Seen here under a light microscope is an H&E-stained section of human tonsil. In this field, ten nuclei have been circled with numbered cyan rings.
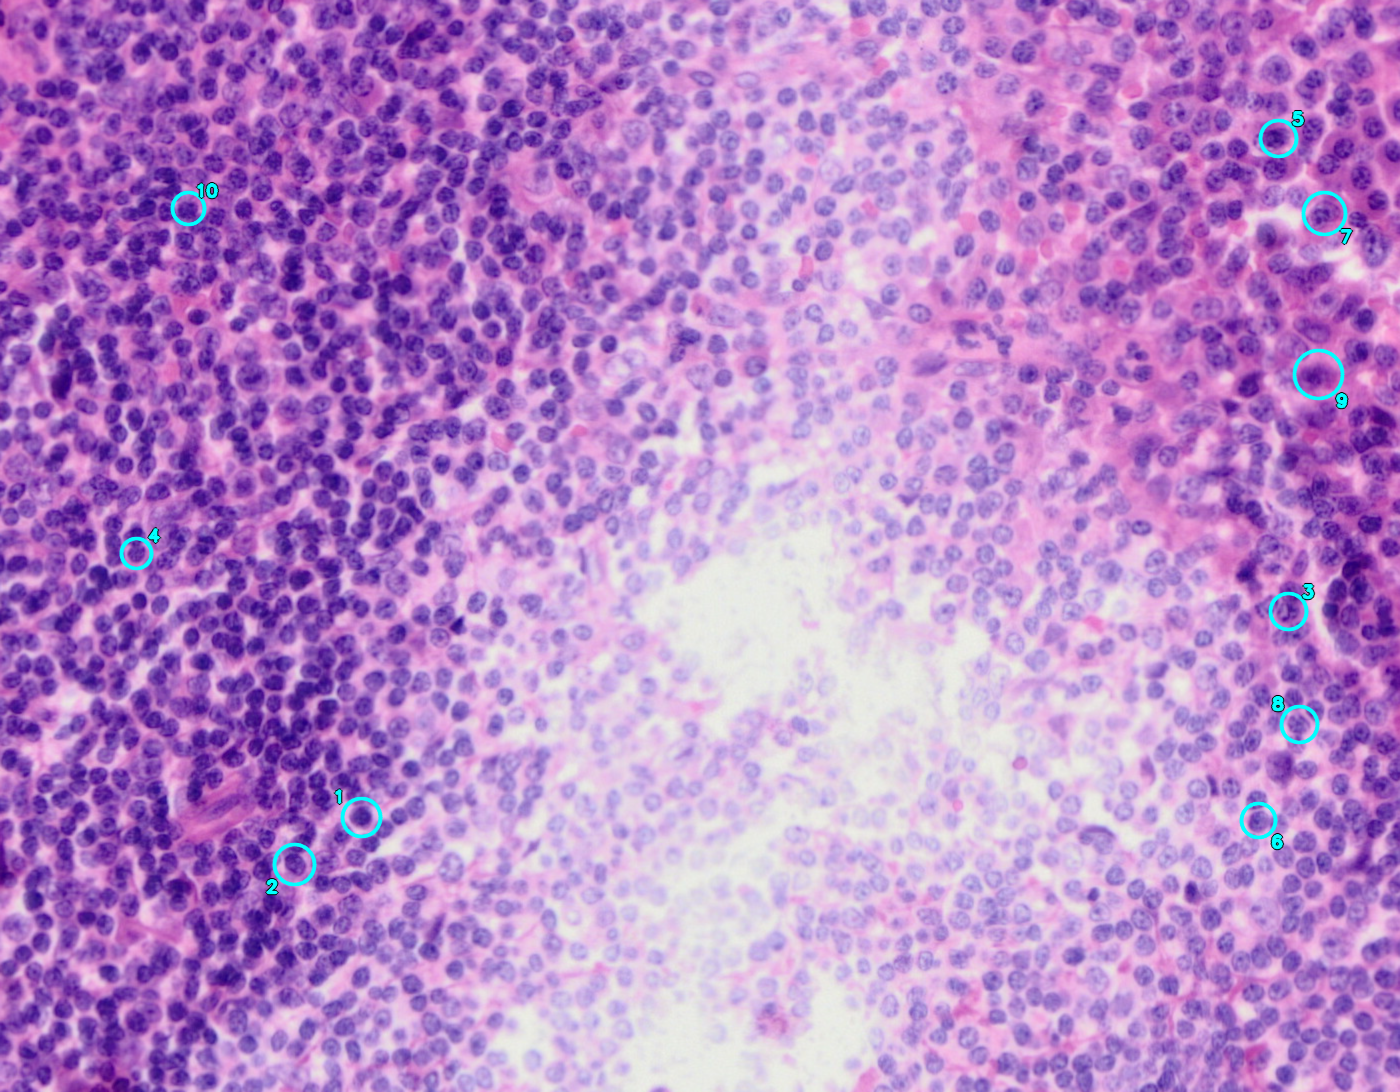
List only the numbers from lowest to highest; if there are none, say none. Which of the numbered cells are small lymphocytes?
1, 2, 4, 6, 8, 10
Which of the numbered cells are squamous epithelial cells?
9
